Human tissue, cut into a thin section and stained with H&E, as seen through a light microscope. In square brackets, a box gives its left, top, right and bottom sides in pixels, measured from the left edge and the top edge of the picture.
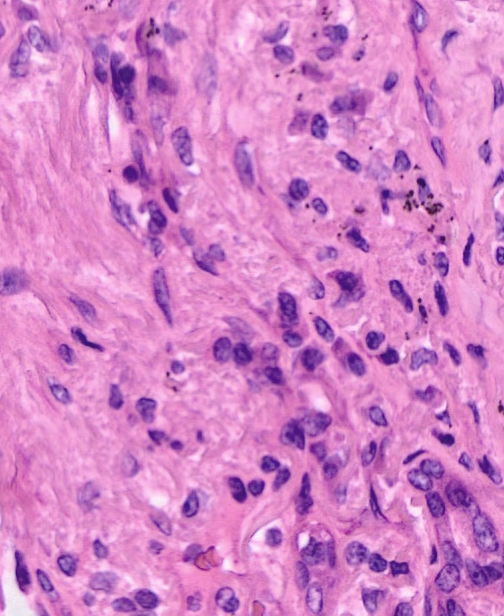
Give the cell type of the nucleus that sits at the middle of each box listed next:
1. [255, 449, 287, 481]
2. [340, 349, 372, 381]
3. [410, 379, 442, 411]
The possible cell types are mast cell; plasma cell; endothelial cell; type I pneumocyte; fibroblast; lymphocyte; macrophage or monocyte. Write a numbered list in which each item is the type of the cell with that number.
1. lymphocyte
2. plasma cell
3. plasma cell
